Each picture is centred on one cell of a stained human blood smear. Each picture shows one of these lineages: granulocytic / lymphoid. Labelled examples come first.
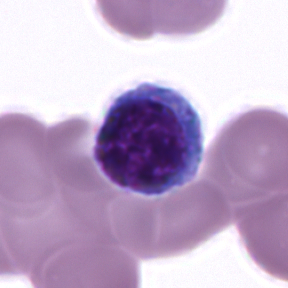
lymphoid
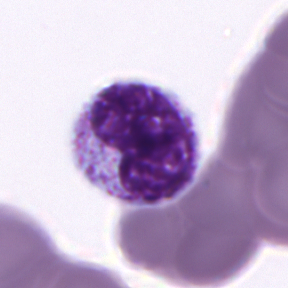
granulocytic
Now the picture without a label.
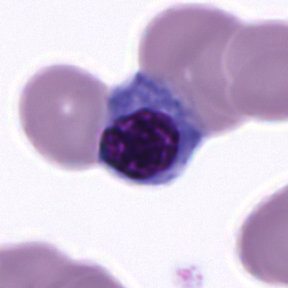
lymphoid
